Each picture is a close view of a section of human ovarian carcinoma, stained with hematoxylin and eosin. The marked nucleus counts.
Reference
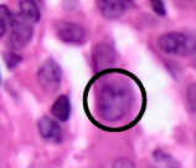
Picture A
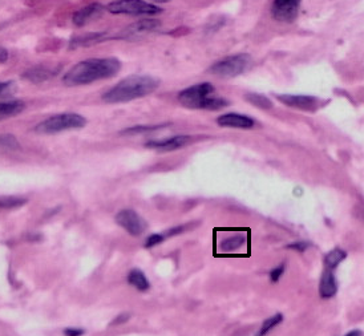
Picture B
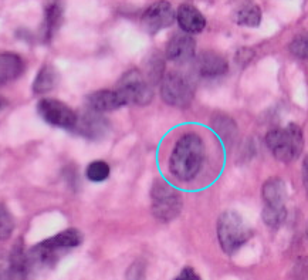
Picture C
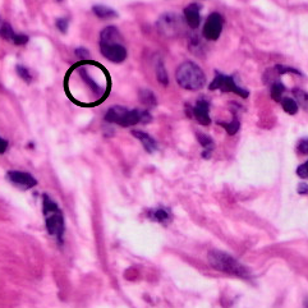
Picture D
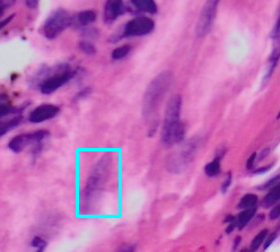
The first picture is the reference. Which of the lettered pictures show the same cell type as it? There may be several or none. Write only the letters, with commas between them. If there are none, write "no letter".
B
